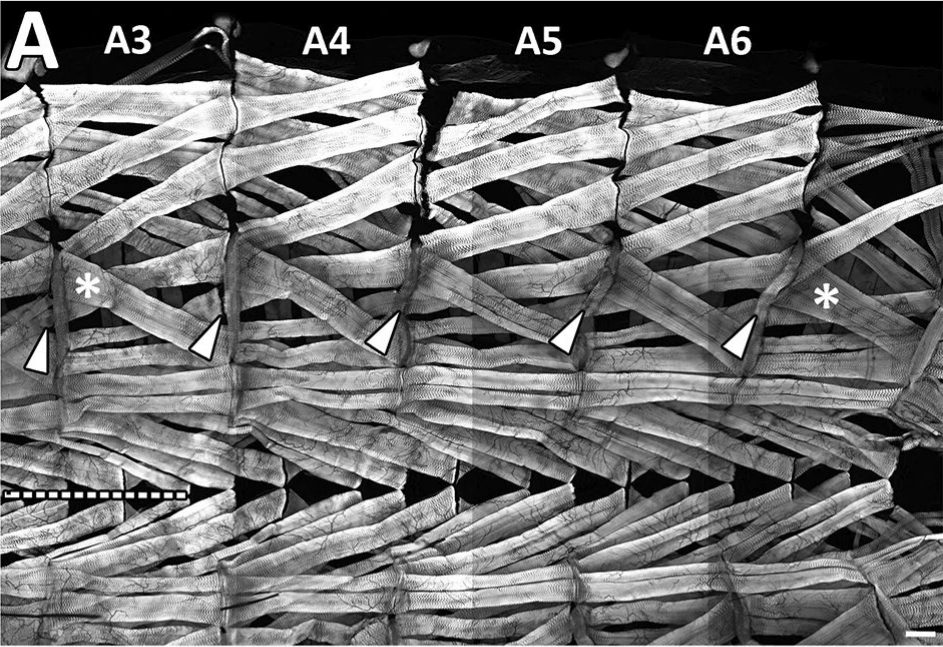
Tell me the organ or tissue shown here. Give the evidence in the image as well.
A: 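Muscles fibres. Long bright band-shaped fibres with fine cross-striation. Fibres run in a repeating pattern across segment borders.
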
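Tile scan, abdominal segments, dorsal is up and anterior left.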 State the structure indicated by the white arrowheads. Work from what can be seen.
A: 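Attachment site. Each arrowhead points to a segment border where the ends of oblique and longitudinal fibres meet.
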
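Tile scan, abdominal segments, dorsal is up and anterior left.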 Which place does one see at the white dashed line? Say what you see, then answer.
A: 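The dashed line lies at the lower part of the panel, near where the muscle pattern is mirrored. That points to this answer: ventral midline.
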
